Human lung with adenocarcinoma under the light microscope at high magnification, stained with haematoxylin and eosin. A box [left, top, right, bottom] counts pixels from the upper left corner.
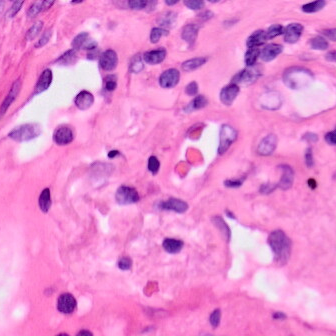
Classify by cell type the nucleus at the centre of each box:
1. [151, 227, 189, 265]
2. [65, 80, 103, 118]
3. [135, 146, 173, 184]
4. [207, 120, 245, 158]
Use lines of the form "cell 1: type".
cell 1: lymphocyte
cell 2: lymphocyte
cell 3: lymphocyte
cell 4: endothelial cell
